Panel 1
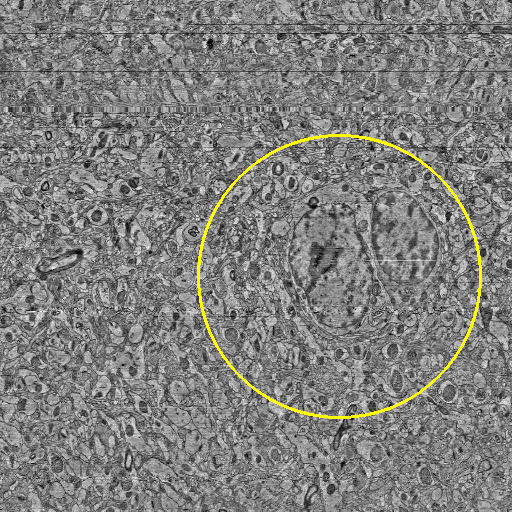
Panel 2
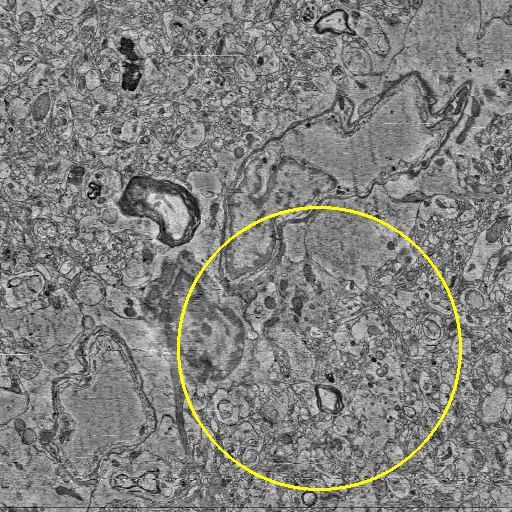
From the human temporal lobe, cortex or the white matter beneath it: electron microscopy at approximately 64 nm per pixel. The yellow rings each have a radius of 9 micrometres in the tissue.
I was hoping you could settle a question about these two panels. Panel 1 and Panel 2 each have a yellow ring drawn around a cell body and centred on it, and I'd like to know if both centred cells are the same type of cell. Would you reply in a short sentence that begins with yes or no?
No, they are two types of cell.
